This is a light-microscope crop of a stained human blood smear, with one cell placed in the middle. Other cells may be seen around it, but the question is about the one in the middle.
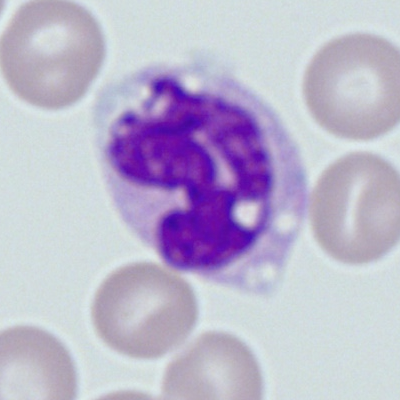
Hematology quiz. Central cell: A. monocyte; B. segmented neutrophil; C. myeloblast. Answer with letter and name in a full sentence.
Option A is the correct one; it names the central cell as a monocyte.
